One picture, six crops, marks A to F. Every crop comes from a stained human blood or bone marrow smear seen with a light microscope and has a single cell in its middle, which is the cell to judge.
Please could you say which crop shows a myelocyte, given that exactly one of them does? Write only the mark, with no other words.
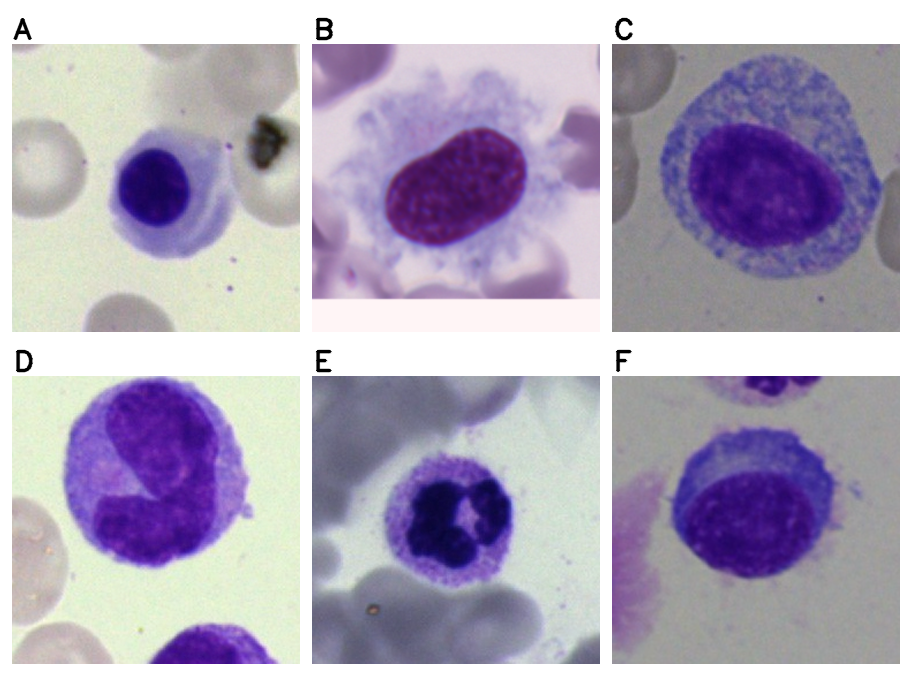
C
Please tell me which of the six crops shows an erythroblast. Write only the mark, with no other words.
A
